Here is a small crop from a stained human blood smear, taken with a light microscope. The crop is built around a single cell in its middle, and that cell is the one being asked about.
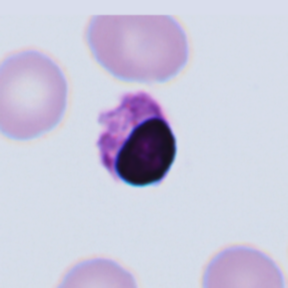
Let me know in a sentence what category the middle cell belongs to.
The centered cell in this crop is a normoblast.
